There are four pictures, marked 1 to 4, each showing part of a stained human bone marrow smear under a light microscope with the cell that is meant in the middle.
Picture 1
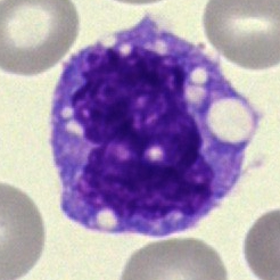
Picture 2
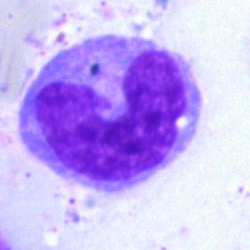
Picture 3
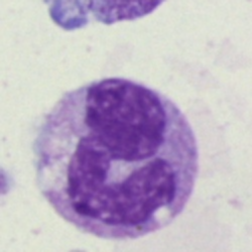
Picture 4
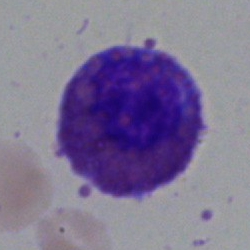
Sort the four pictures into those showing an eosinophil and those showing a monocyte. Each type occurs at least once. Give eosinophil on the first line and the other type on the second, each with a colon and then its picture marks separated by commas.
eosinophil: 4
monocyte: 1, 2, 3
